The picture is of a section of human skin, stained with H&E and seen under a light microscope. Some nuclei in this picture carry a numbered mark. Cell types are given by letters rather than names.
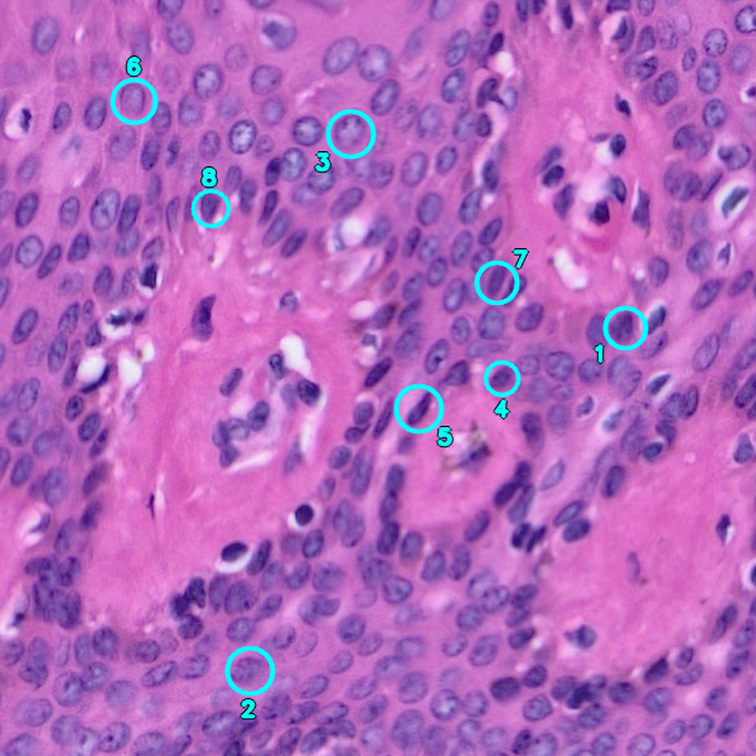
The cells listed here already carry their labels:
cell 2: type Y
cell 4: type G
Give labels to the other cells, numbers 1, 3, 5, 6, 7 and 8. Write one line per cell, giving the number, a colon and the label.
1: type G
3: type Y
5: type G
6: type Y
7: type G
8: type G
